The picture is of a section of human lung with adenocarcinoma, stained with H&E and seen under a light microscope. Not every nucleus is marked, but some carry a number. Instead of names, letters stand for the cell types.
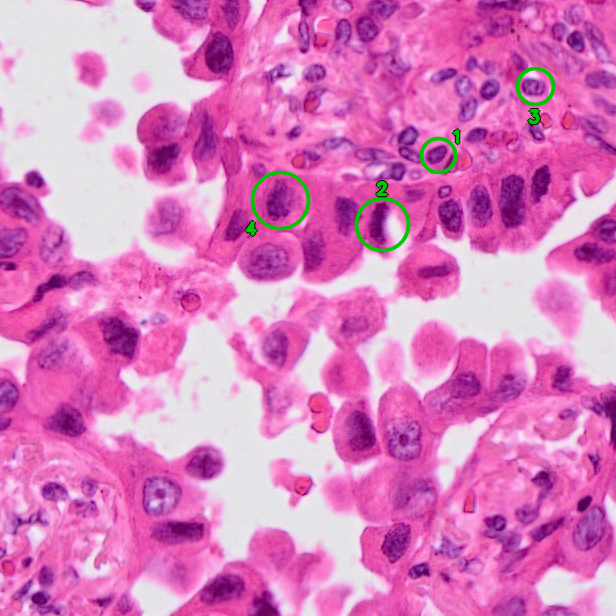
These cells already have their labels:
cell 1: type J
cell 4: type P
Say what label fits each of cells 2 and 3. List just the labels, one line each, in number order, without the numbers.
type P
type J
